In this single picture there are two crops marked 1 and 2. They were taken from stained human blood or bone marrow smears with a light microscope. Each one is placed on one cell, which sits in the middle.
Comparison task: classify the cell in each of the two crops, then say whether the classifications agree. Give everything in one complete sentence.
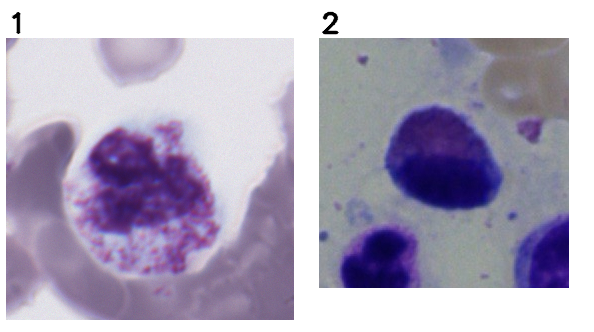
No: a basophil sits in crop 1, and an eosinophil sits in crop 2.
